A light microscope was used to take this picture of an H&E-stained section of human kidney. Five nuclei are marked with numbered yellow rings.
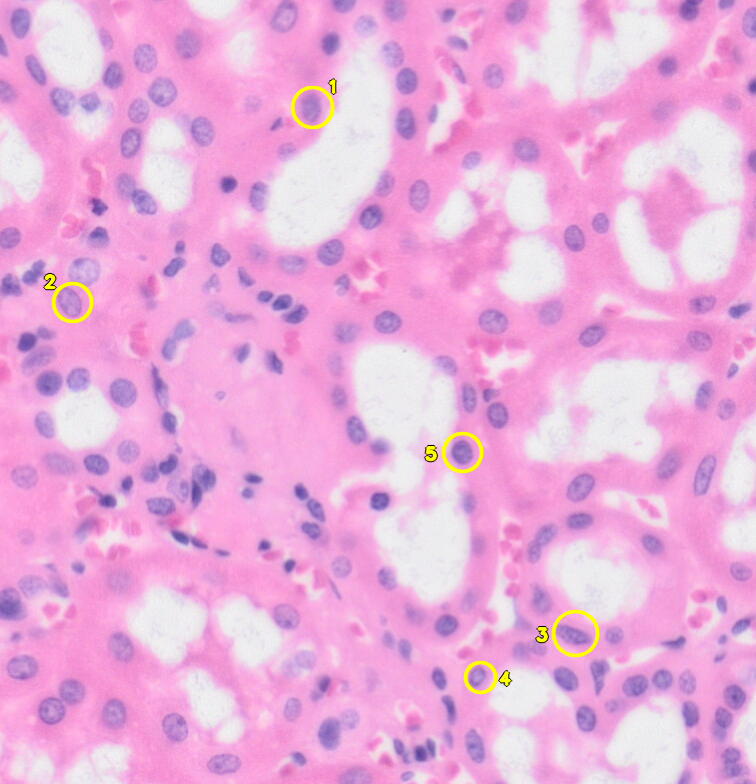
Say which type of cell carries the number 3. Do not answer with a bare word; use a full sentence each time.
Cell 3 is classified as a collecting duct cell.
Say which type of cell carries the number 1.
The cell whose nucleus carries the number 1 is a loop of Henle or distal tubule cell.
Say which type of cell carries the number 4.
The cell with the number 4 is a collecting duct cell.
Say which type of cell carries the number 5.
The cell to which the number 5 is assigned is a loop of Henle or distal tubule cell.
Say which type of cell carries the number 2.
The cell marked with the number 2 is a proximal tubule cell.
